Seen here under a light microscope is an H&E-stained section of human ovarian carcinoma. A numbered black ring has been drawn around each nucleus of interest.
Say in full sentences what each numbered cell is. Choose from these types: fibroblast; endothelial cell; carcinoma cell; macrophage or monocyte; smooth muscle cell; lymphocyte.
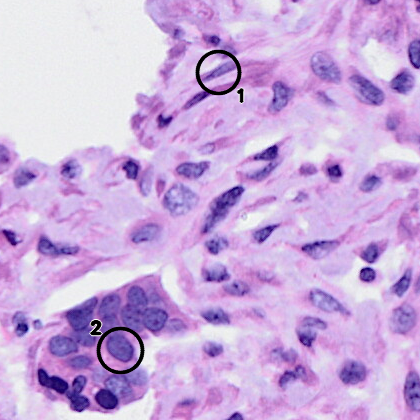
Cell 1 is a fibroblast. Cell 2 is a carcinoma cell.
